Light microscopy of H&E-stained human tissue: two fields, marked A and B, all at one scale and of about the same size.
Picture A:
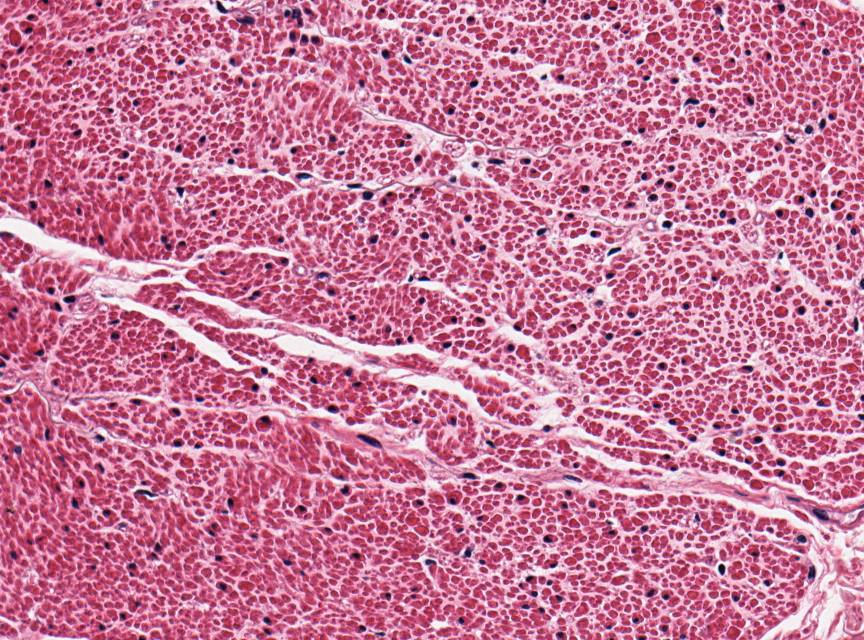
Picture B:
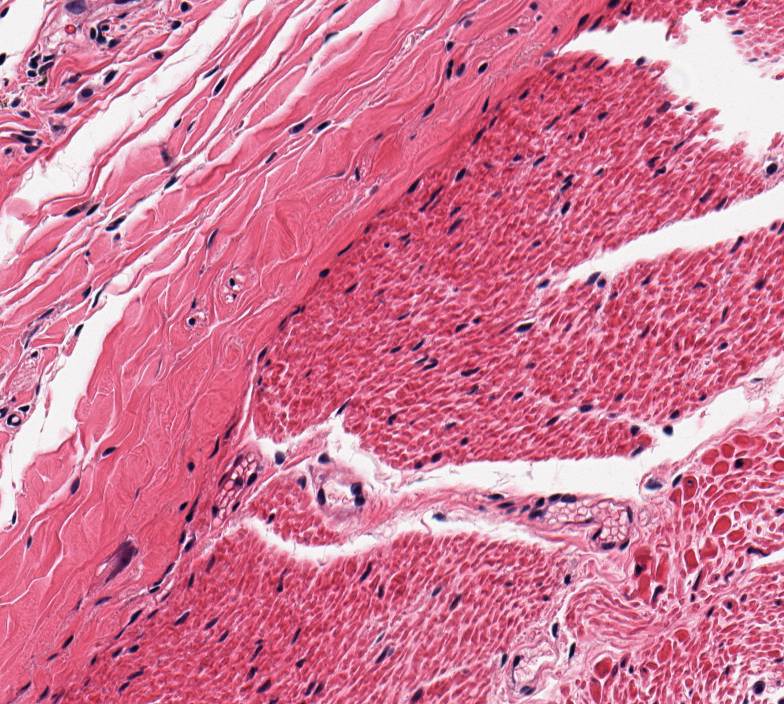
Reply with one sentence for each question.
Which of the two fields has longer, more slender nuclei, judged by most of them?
Longer, more slender nuclei lie in picture B.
